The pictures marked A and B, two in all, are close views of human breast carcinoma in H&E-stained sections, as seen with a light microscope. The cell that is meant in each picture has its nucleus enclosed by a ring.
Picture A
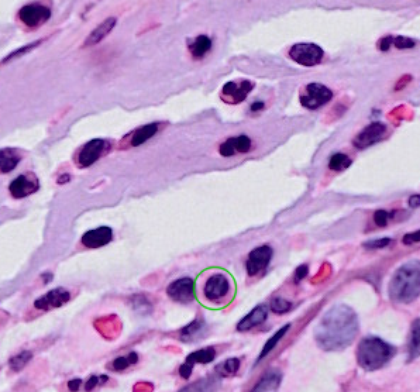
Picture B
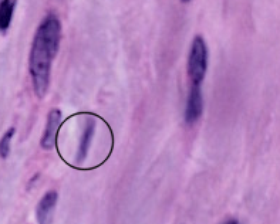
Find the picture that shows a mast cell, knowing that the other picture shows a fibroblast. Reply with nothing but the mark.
A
